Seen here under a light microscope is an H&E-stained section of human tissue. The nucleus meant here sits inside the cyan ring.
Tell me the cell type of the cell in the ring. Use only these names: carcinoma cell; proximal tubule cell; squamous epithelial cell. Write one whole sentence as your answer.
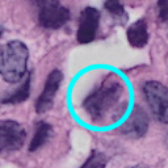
Just put down that the cell in the ring is a carcinoma cell.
